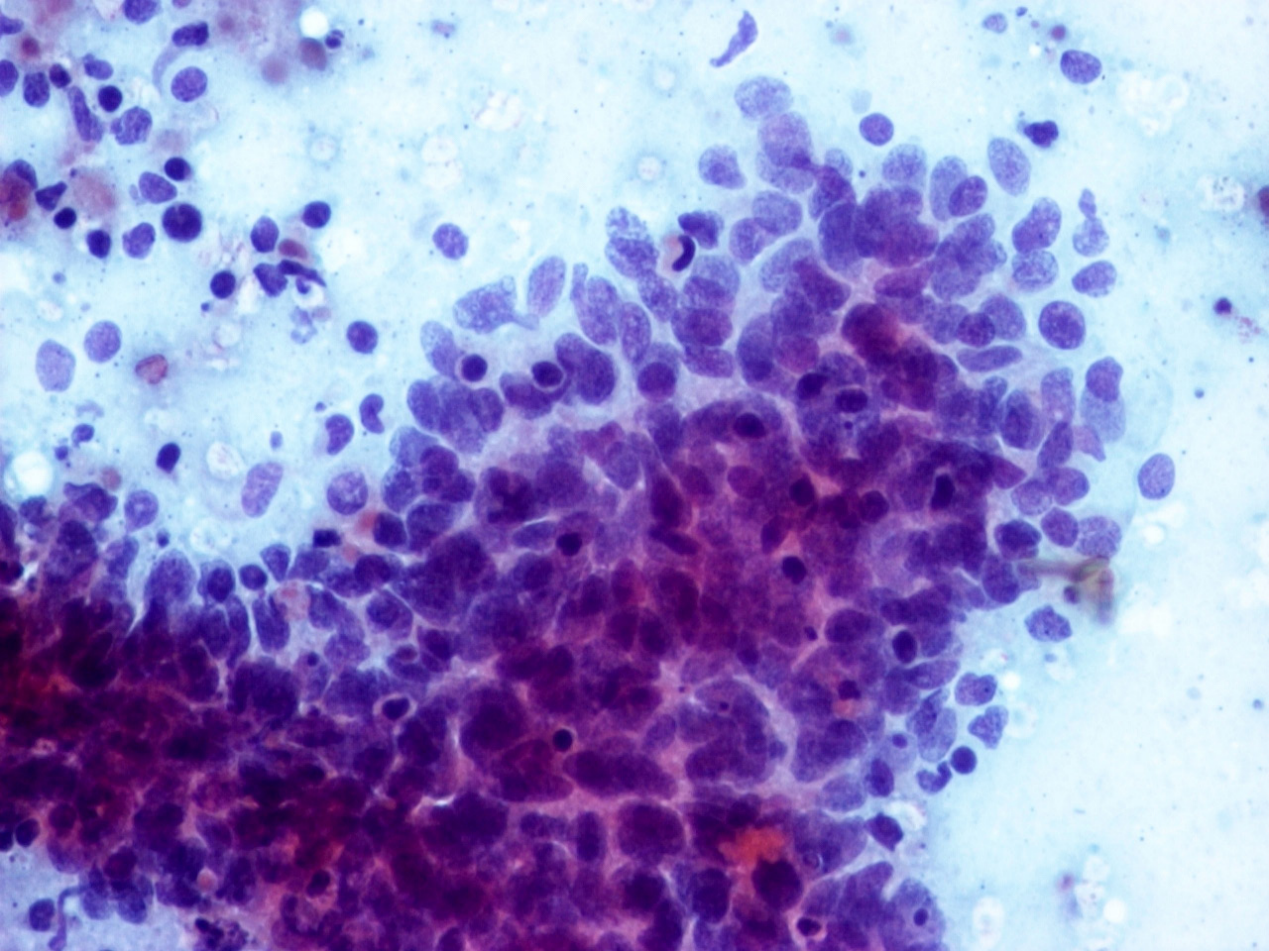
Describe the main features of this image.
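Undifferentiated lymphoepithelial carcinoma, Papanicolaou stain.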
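Cellular smear with a large cohesive cluster of atypical epithelial cells, a few isolated cells at its periphery, and small lymphocytes with round dark nuclei in the background at upper left. The atypical cells have large oval pale nuclei with finely granular chromatin, overlapping and crowded, and scant cytoplasm with poorly defined borders. The cluster is dense and darker centrally, with a pale blue background.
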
